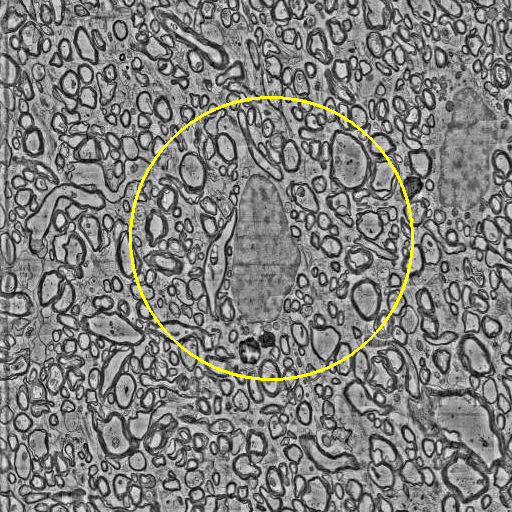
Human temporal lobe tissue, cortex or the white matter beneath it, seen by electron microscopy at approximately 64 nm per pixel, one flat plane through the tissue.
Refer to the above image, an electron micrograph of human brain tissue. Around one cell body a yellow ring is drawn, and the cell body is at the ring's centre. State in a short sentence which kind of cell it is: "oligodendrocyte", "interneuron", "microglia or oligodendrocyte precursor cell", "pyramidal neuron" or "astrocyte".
The centre of the ring falls on an oligodendrocyte.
